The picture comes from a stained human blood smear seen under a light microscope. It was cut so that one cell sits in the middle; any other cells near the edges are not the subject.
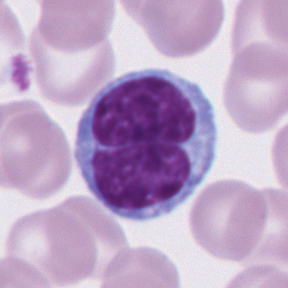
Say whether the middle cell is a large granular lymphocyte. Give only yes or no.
no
